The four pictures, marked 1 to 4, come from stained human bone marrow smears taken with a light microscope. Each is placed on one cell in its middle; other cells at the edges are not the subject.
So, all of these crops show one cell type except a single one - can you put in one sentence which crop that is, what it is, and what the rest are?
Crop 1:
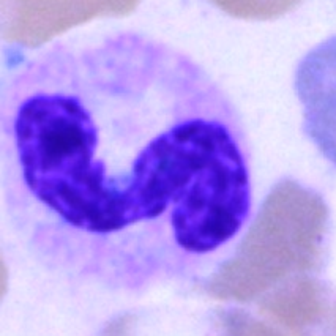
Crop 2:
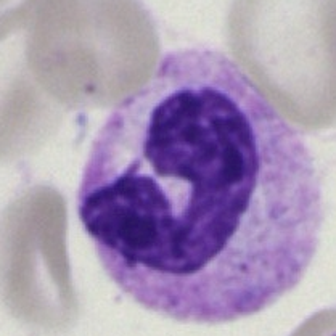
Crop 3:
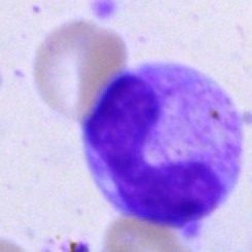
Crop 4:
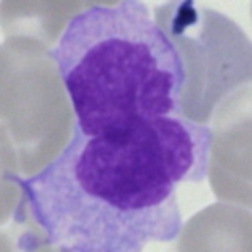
What sets crop 4 apart is that it shows a monocyte, while the others show band neutrophils.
